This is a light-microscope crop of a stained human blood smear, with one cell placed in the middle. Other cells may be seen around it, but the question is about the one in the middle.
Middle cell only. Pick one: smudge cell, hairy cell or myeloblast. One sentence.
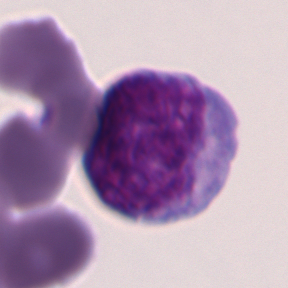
What the crop centres on is a myeloblast.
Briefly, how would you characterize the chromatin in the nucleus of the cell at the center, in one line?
The chromatin of this one is coarsely clumped.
